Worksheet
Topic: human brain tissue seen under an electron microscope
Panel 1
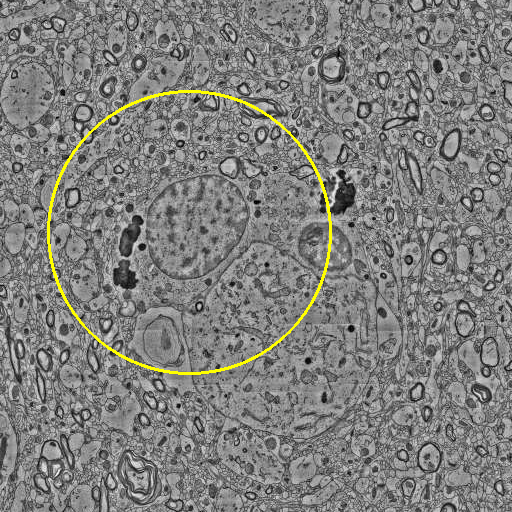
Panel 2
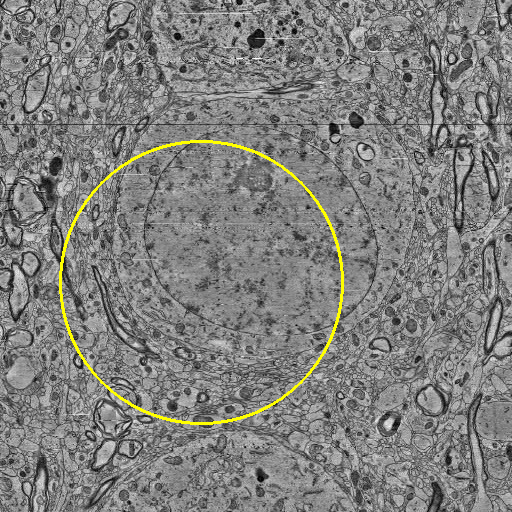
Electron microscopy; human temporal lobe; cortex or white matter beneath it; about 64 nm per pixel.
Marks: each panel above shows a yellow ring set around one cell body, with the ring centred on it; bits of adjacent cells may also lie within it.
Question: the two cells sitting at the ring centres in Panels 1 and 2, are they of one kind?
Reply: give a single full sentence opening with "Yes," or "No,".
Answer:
No, the two ring-centre cells in Panel 1 and Panel 2 are of two kinds.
